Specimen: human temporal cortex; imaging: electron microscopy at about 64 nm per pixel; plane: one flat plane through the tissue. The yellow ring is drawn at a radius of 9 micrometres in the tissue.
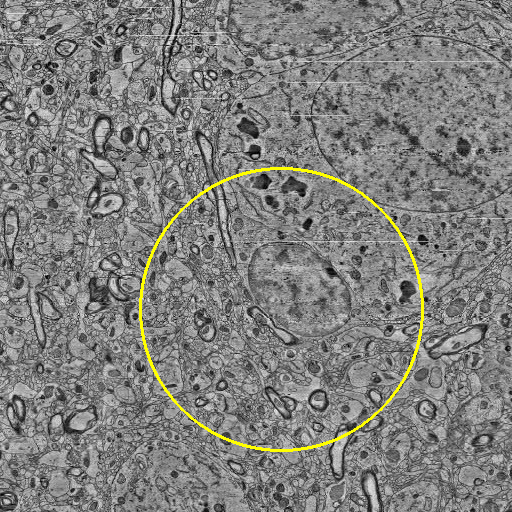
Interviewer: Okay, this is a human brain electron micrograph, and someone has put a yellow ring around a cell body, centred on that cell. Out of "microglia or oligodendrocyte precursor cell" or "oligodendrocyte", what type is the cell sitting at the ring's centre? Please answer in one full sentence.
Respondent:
The cell at the centre of the yellow ring in this picture is an oligodendrocyte.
